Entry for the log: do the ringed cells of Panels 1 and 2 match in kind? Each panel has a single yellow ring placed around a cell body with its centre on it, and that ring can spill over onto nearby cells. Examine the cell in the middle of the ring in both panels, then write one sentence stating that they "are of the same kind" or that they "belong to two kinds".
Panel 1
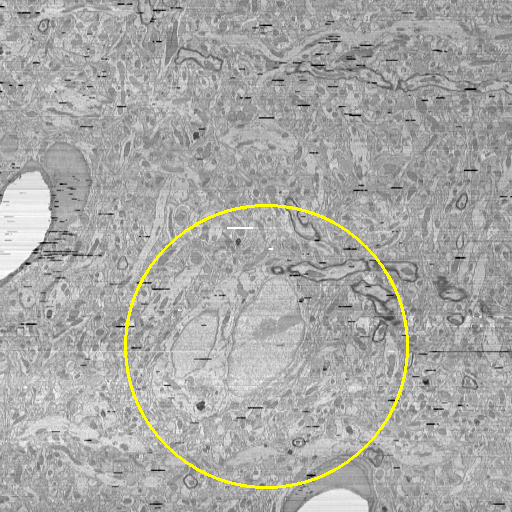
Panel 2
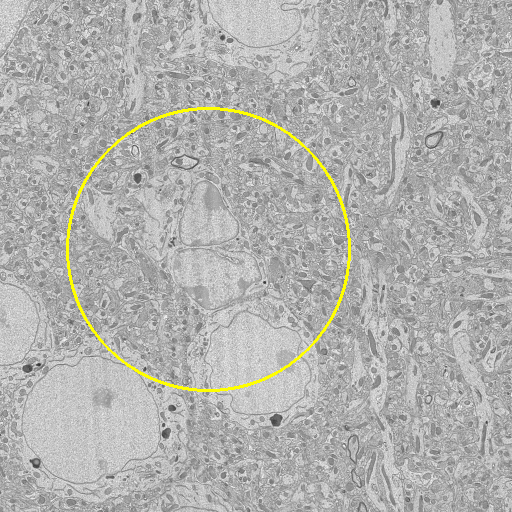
The centre cell of Panel 1's ring and that of Panel 2's ring are of the same kind.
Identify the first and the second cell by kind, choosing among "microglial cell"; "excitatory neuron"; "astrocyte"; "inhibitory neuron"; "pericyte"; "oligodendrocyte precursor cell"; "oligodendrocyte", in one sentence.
Each cell at the centre of a ring is an oligodendrocyte precursor cell.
